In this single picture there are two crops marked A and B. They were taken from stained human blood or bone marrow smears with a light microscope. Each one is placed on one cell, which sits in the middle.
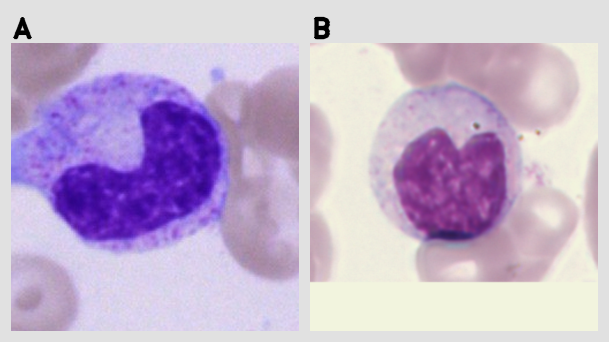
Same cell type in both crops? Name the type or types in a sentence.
No, it is crop A that shows a band neutrophil, and crop B that shows a metamyelocyte.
